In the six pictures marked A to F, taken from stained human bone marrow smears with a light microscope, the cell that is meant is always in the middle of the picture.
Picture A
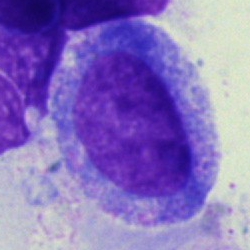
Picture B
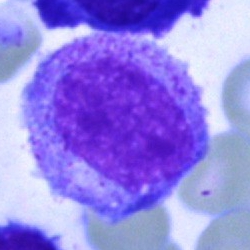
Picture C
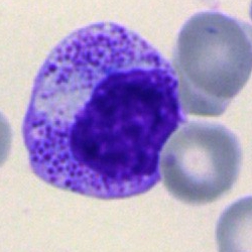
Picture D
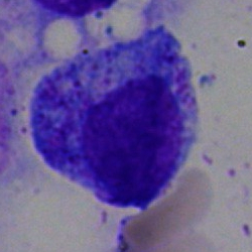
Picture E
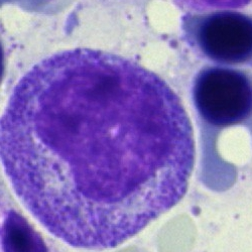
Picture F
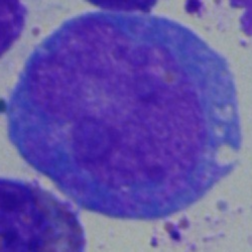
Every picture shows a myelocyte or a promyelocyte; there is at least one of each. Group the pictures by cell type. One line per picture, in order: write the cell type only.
promyelocyte
promyelocyte
myelocyte
promyelocyte
myelocyte
promyelocyte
